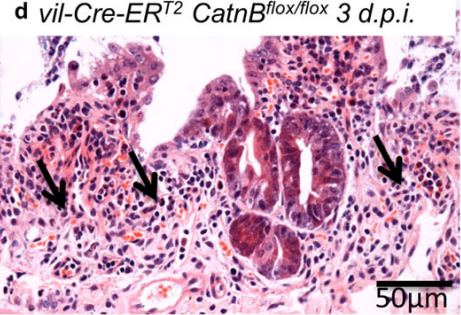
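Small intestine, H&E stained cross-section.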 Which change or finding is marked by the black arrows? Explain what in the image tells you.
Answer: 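Where the arrows point, no epithelial glands sit at the base of the mucosa. The space is filled by loose stroma crowded with small round nuclei and red blood cells. Only a few irregular glands remain in the middle of the field. On this evidence: crypt loss.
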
